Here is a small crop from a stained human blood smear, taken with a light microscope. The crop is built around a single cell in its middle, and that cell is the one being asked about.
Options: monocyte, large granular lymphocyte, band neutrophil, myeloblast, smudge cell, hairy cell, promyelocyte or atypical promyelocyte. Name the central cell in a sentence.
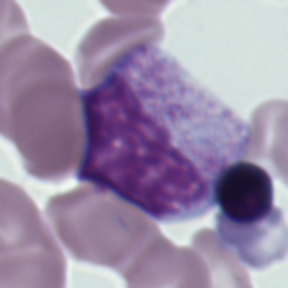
The cell marked by its central position in the crop is a promyelocyte.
